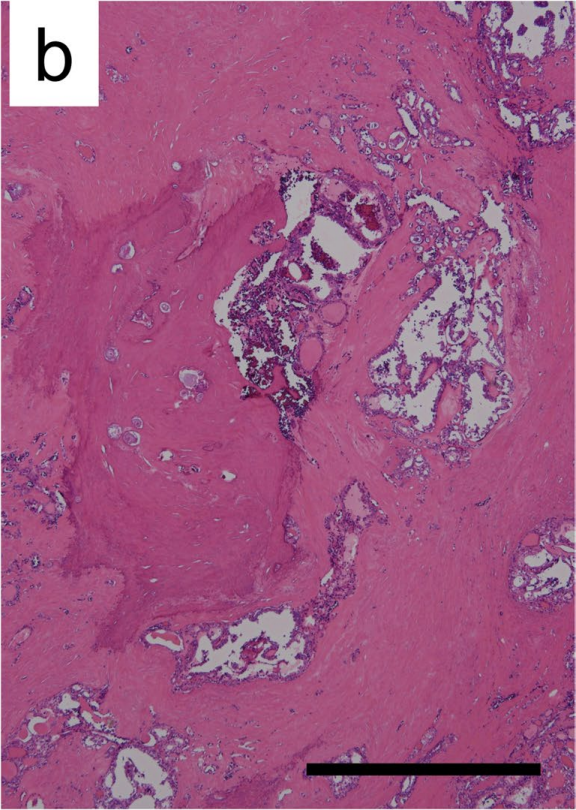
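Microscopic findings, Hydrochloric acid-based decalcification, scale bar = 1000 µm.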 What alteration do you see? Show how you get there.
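Most of the field is taken up by dense, pink, sparsely cellular stroma. The stroma has a fibrillar, streaming texture. Epithelial structures lie as scattered islands within the pink stroma.
Answer: extensive fibrosis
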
